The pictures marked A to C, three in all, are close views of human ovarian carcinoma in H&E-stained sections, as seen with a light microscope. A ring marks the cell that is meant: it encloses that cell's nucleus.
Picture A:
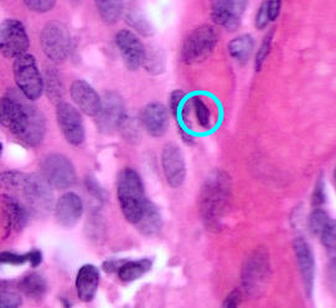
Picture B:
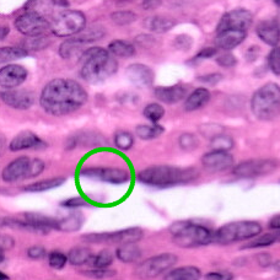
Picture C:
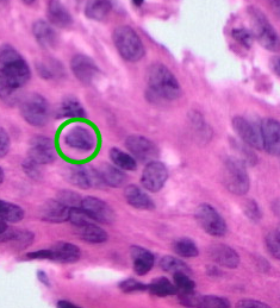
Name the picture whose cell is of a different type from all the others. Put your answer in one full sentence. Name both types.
Picture C differs, because its cell is a “macrophage or monocyte” and the rest are endothelial cells.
